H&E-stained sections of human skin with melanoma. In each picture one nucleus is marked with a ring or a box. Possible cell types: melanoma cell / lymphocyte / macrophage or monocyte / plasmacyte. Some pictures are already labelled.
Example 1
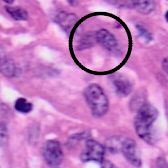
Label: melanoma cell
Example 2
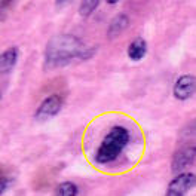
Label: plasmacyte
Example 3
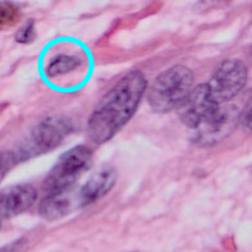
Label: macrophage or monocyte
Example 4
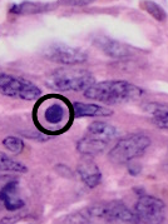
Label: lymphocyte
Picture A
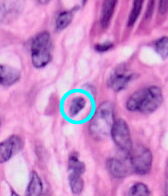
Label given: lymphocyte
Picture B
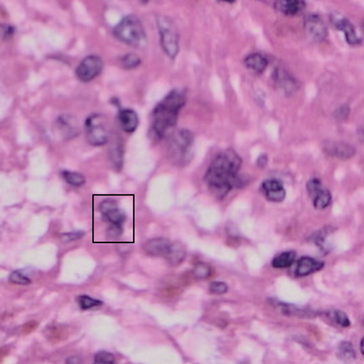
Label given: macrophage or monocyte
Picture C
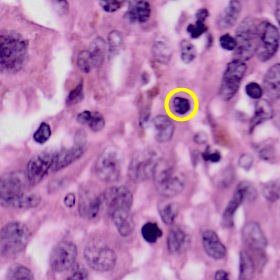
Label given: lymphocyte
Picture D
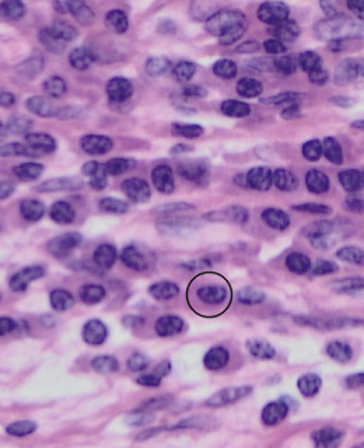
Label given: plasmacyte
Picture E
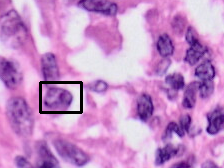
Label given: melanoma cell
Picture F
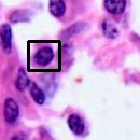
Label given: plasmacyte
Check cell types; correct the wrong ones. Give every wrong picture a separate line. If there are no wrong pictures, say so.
No label is wrong.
